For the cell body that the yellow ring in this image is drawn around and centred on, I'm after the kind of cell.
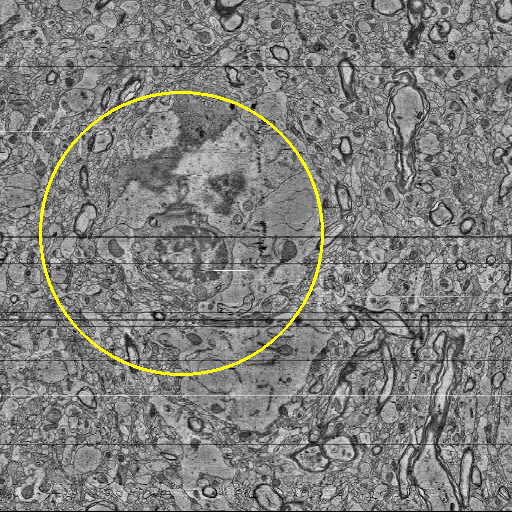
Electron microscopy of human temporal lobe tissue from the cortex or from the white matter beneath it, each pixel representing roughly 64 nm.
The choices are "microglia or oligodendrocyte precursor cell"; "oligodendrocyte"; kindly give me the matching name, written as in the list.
oligodendrocyte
